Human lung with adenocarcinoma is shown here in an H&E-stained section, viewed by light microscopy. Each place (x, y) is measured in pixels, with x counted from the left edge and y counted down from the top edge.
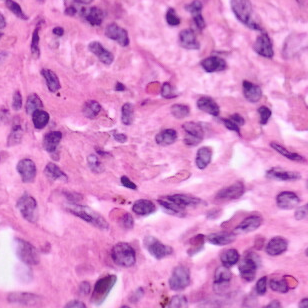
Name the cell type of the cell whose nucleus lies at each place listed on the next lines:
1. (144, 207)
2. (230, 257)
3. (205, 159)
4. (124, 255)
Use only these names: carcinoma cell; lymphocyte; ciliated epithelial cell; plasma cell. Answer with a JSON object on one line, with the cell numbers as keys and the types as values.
{"1": "lymphocyte", "2": "lymphocyte", "3": "lymphocyte", "4": "plasma cell"}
